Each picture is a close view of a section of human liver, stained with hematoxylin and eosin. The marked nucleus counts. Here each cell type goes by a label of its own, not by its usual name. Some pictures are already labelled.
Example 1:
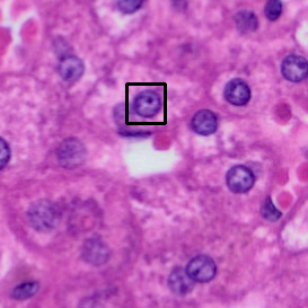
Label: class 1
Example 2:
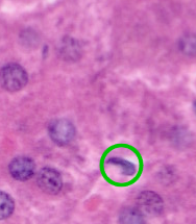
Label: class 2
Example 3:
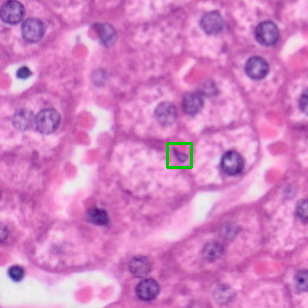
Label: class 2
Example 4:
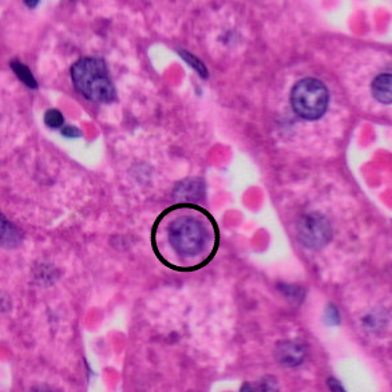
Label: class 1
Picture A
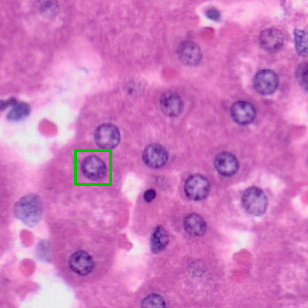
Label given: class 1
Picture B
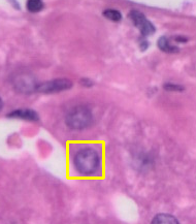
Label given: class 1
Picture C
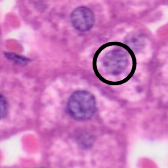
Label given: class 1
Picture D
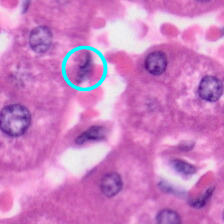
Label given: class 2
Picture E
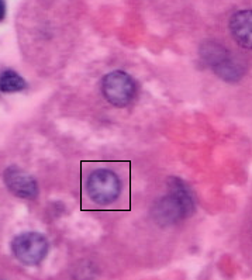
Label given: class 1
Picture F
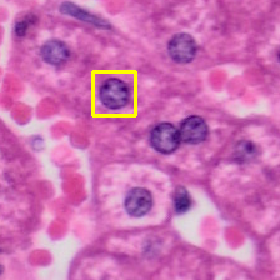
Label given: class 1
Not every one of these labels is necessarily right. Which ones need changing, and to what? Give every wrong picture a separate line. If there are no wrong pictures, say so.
No label is wrong.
